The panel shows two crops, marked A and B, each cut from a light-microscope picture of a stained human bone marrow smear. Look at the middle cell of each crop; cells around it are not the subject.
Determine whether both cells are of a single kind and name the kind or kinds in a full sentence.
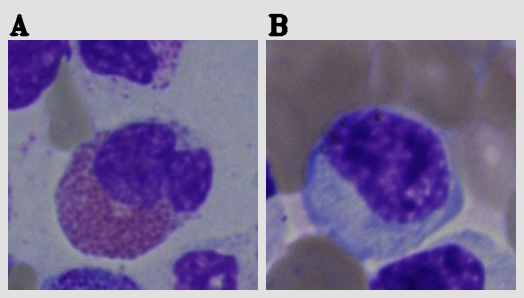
No, an eosinophil and a myelocyte are found in crop A and crop B, respectively.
